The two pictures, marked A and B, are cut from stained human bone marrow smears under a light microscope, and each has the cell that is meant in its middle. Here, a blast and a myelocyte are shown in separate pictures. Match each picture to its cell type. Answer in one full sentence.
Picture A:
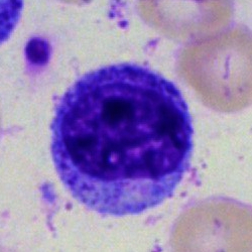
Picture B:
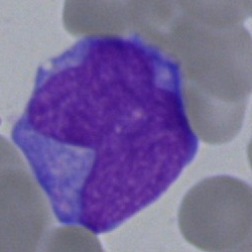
Picture A is of a myelocyte, and picture B is of a blast.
